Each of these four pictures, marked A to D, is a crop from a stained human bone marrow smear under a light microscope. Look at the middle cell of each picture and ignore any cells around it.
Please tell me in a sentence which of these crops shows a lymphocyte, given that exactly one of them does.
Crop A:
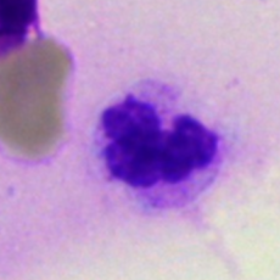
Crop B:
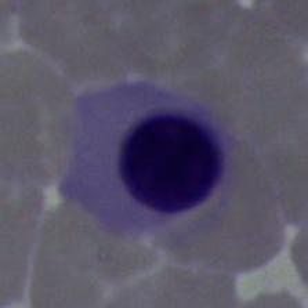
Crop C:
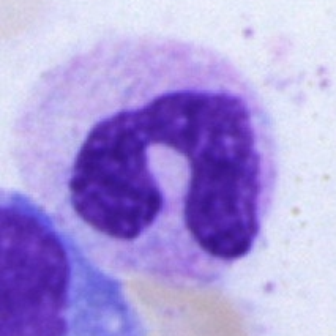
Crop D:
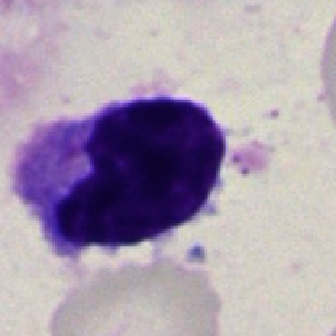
Of the labeled crops, the one with a lymphocyte is crop D.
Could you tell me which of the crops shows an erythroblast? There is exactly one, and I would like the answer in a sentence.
It is crop B that shows an erythroblast.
